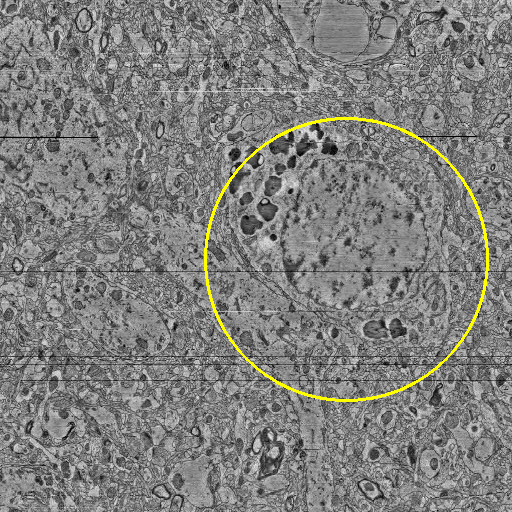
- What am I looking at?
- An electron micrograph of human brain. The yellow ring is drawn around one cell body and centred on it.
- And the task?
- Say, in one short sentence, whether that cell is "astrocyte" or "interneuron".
The cell in the middle of the ring is an interneuron.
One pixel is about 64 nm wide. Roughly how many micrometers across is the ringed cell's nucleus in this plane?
The ringed cell's nucleus is about 10 micrometres across in this plane.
